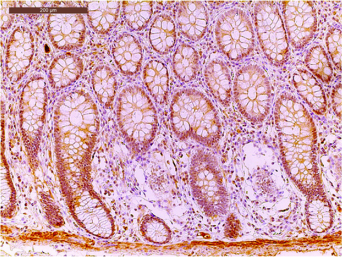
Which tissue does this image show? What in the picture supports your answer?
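Regular round crypts in cross-section. Crypts lined by many pale goblet cells. Cellular tissue fills the spaces between crypts.
Hence: non-malignant colon.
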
